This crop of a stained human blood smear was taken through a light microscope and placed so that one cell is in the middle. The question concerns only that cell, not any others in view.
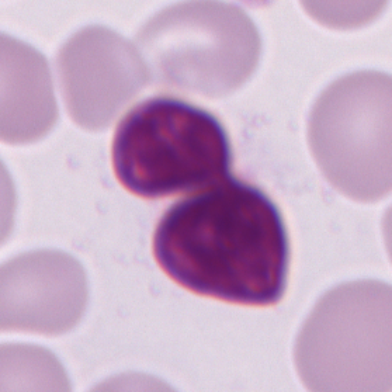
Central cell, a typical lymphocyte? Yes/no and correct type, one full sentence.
No, not a typical lymphocyte here; the centered cell is a smudge cell.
